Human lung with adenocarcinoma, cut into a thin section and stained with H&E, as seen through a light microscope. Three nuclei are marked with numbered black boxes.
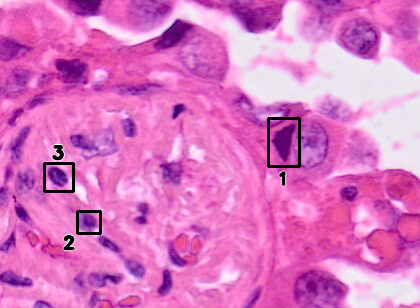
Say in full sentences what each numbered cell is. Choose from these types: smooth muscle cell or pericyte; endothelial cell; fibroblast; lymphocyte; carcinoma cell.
Cell 1 is a carcinoma cell. Cells 2 and 3 are lymphocytes.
